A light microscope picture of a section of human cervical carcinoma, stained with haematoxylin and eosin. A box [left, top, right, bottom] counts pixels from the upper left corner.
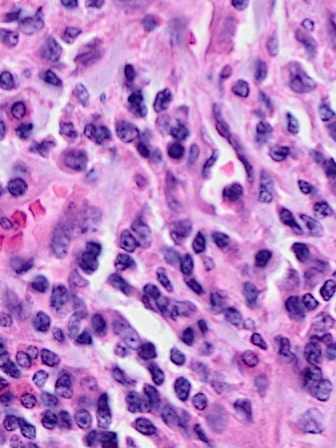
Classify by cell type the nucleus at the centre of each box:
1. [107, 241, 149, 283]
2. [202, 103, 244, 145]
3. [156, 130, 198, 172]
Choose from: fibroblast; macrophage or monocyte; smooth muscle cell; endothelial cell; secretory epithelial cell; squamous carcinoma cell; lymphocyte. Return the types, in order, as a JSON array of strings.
["lymphocyte", "endothelial cell", "lymphocyte"]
